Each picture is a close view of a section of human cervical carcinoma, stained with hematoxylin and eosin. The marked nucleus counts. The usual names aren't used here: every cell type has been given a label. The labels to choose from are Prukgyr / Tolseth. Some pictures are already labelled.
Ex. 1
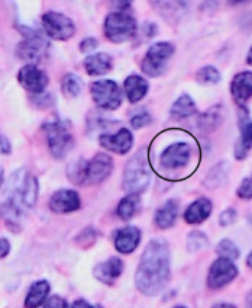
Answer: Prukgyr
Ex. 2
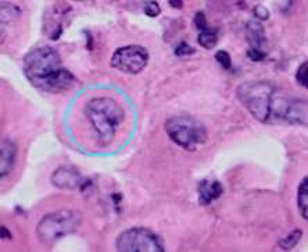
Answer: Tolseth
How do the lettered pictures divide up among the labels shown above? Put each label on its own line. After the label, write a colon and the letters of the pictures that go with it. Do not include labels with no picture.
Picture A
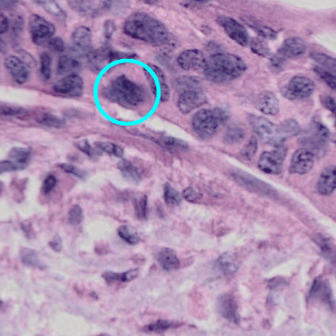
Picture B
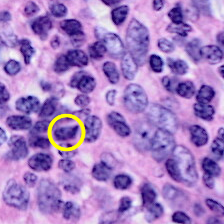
Prukgyr: B
Tolseth: A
